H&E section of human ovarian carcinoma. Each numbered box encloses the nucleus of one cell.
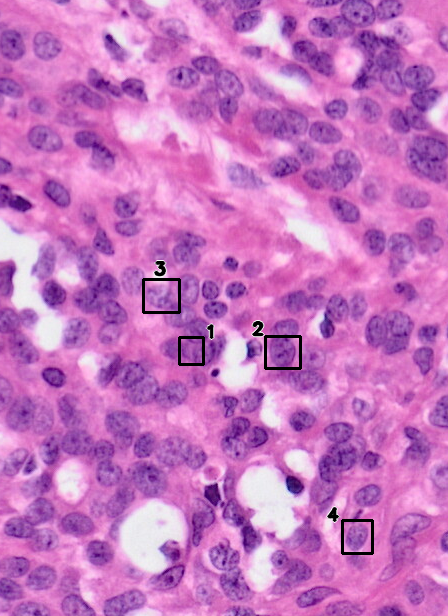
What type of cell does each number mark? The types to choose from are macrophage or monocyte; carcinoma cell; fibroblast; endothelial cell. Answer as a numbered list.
1. carcinoma cell
2. carcinoma cell
3. carcinoma cell
4. macrophage or monocyte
